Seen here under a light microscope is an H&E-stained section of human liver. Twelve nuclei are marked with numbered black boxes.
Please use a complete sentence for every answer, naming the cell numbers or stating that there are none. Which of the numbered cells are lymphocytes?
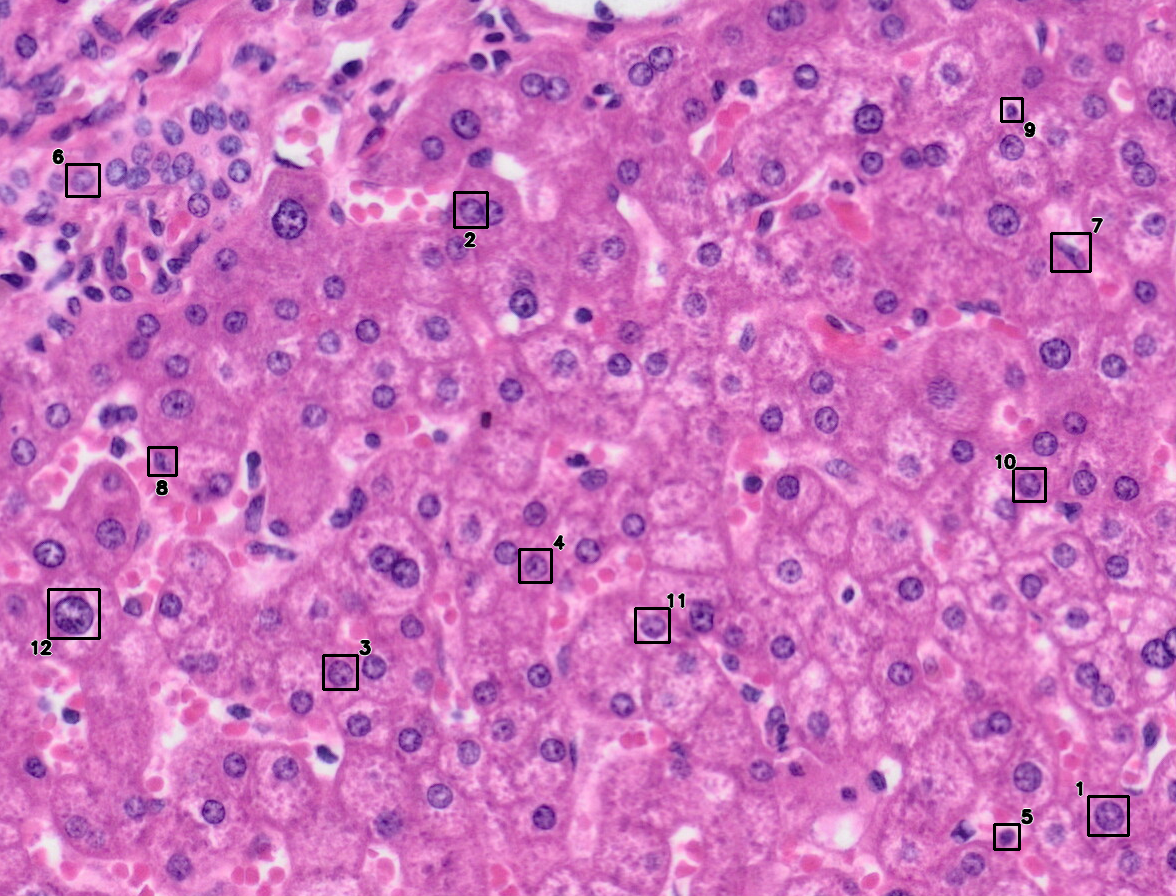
The cells numbered 5 and 9 are of one kind: lymphocytes.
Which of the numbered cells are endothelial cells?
Among the numbered nuclei, only the one labelled 7 belongs to an endothelial cell.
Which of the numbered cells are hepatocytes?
The cells carrying labels 1, 2, 3, 4, 10, 11 and 12 are hepatocytes.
